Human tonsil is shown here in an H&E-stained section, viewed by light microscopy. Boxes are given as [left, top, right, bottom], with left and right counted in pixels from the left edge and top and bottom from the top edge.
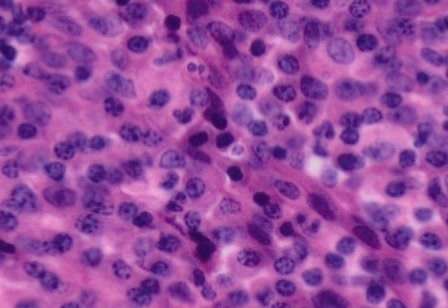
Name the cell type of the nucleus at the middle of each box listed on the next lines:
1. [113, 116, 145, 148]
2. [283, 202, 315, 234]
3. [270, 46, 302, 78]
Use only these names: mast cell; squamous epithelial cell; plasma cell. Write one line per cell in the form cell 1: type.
cell 1: plasma cell
cell 2: squamous epithelial cell
cell 3: plasma cell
